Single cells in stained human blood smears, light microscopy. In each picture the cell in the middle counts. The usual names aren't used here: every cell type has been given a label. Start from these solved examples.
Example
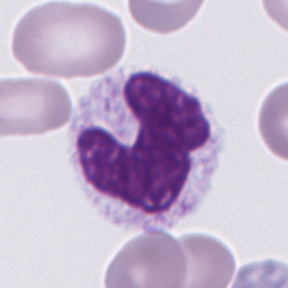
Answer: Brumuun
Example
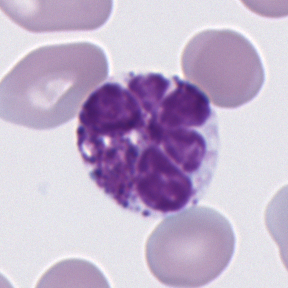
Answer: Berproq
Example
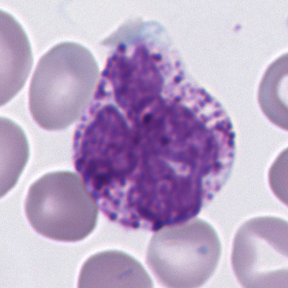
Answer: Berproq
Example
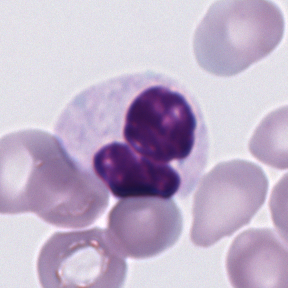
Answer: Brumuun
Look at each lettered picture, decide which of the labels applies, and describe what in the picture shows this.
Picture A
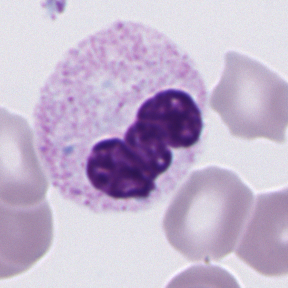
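Brumuun. Reason: Fine pink-violet granules are scattered through the whole cytoplasm.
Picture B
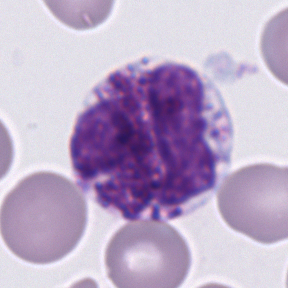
Berproq. Reason: Coarse granules lie over the nucleus as well as the cytoplasm.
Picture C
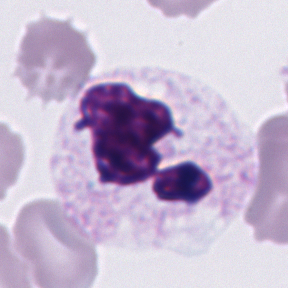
Brumuun. Reason: Fine pinkish-violet granules are scattered throughout the cytoplasm.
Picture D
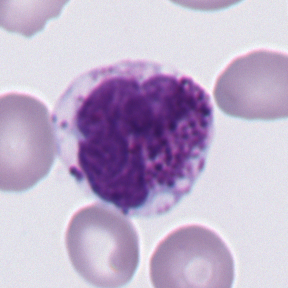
Berproq. Reason: Coarse dark purple granules lie thickly over the right part of the nucleus.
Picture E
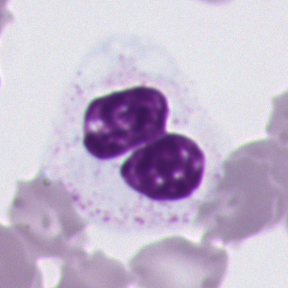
Brumuun. Reason: Fine pinkish-violet granules are sparsely scattered through the cytoplasm.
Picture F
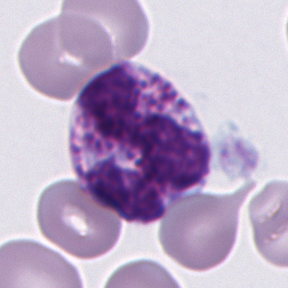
Berproq. Reason: Coarse dark purple granules are scattered through the cell.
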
